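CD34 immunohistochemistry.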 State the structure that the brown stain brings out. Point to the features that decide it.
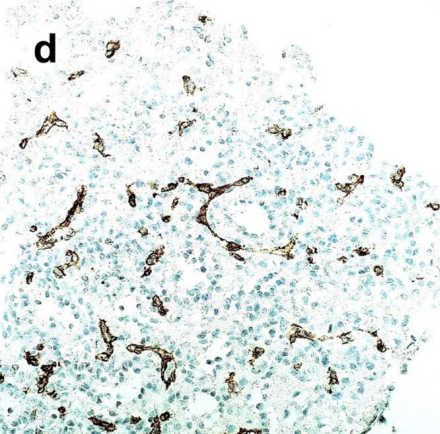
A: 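Brown stain outlines thin, narrow branching channels. Most surrounding cells are unstained with blue nuclei. That points to this answer: capillary-like vessels.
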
